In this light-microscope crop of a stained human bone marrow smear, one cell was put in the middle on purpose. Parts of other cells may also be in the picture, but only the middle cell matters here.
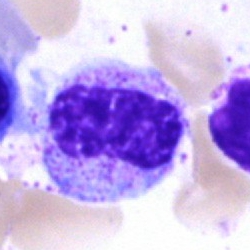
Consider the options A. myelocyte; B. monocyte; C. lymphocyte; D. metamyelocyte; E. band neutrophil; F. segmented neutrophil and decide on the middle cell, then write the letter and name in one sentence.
Option E holds, for the cell in the middle is a band neutrophil.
